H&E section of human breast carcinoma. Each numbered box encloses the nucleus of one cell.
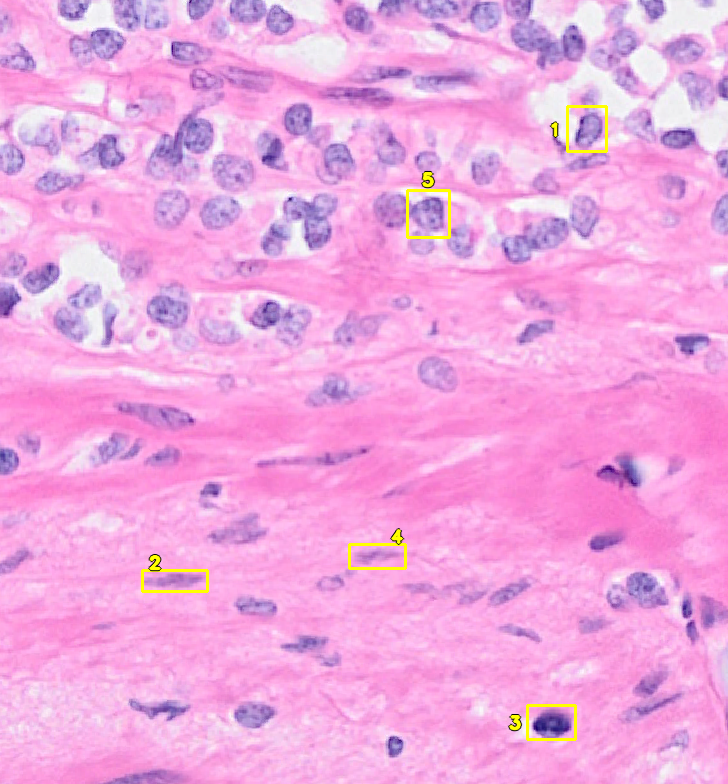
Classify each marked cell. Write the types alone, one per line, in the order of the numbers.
carcinoma cell
fibroblast
lymphocyte
fibroblast
carcinoma cell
